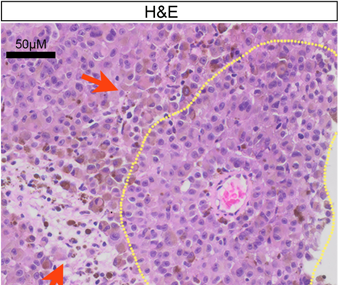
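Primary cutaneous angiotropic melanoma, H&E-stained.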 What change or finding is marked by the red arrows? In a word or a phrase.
Areas of tumor cell death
